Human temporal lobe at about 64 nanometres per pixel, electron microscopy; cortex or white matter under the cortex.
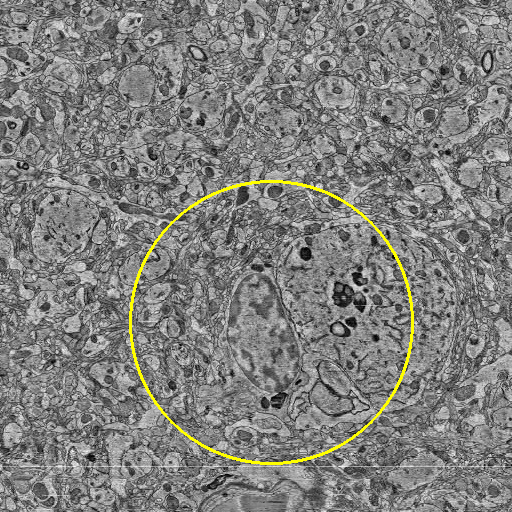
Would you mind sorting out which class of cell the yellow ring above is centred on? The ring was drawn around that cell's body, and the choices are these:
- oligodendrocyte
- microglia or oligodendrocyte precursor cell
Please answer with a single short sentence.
This is the cell body of a microglial cell or oligodendrocyte precursor cell.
